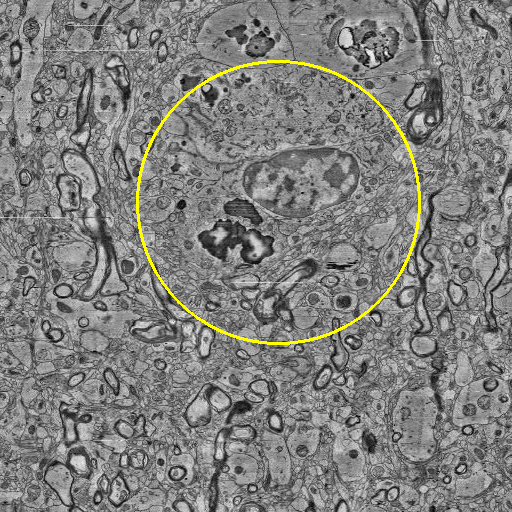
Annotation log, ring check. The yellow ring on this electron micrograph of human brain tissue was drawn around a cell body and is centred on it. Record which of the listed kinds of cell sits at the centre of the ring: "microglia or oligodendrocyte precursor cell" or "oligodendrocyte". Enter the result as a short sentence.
The cell at the centre of the ring is a microglial cell or oligodendrocyte precursor cell.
